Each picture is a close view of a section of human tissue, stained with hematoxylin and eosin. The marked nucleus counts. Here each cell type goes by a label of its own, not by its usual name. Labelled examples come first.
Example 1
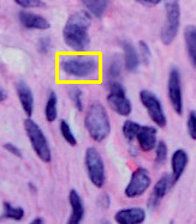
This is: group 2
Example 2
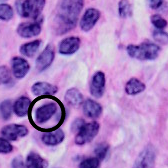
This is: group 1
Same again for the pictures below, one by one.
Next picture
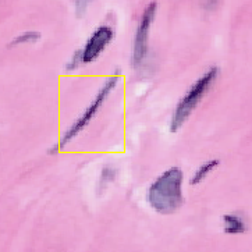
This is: group 2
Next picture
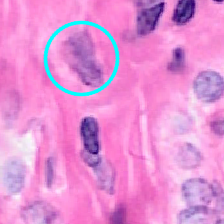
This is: group 2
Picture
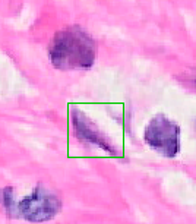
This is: group 2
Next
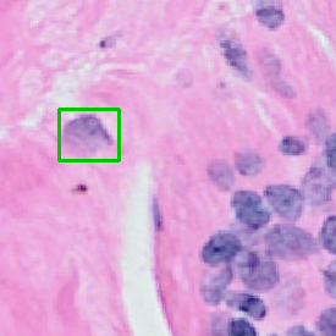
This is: group 2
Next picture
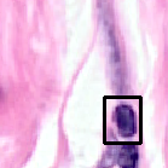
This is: group 1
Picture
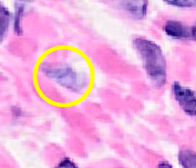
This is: group 2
